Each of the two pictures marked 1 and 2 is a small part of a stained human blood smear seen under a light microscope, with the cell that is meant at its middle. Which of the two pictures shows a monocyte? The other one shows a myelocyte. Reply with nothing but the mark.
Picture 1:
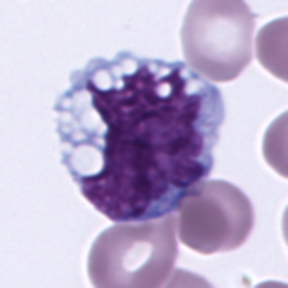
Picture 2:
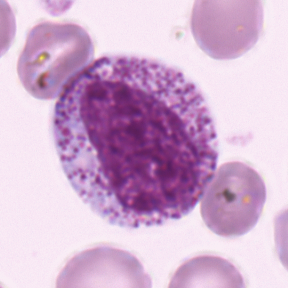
1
